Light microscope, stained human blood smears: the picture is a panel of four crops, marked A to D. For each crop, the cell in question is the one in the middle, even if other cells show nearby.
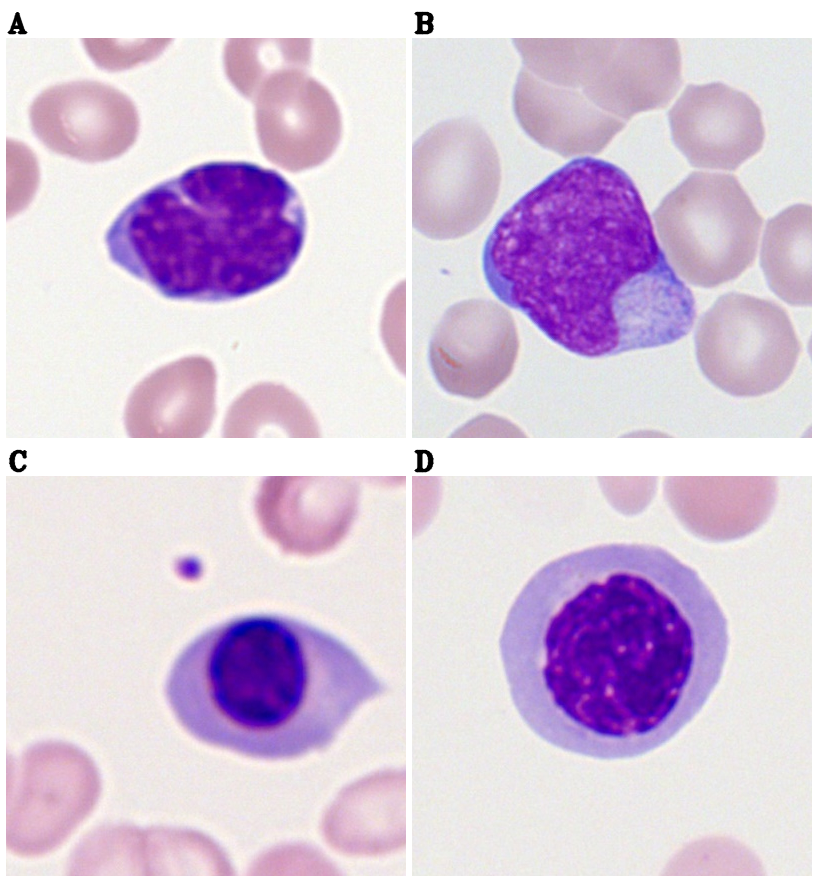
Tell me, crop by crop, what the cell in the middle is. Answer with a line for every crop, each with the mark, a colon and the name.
A: monocyte
B: myeloblast
C: erythroblast
D: erythroblast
